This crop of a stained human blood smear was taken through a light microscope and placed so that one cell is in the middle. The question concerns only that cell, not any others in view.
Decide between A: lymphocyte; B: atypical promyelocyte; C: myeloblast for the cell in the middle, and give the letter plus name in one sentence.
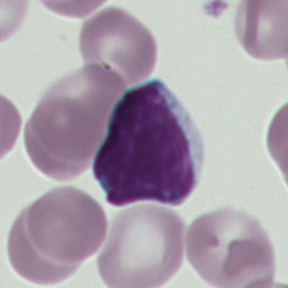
The central cell of the crop is a lymphocyte, which makes A the correct option.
